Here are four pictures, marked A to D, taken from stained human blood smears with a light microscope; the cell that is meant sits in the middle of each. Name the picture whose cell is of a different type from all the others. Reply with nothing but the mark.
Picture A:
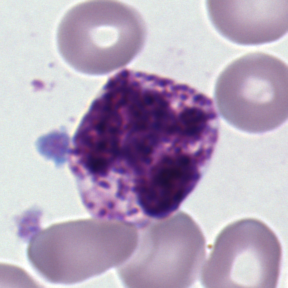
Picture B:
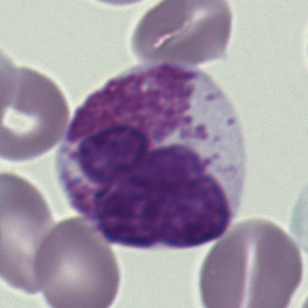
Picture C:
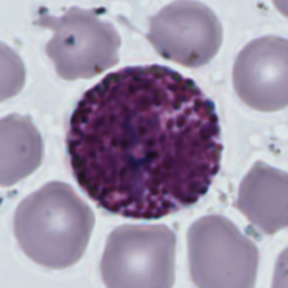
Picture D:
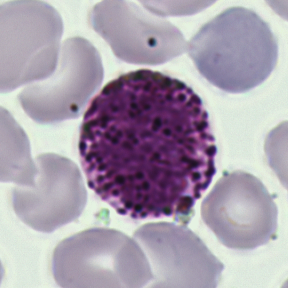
B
